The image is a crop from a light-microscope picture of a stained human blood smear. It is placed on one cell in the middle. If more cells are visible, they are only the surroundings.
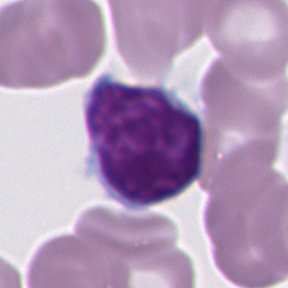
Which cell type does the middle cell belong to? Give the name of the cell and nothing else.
typical lymphocyte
